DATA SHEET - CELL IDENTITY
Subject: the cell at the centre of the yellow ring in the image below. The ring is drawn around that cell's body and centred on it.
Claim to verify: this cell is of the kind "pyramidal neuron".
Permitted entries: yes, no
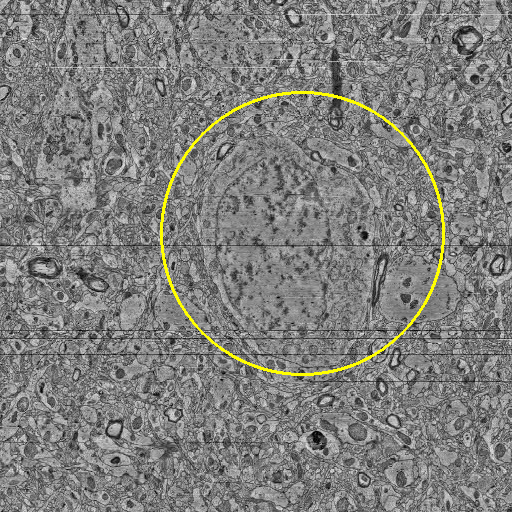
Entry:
no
